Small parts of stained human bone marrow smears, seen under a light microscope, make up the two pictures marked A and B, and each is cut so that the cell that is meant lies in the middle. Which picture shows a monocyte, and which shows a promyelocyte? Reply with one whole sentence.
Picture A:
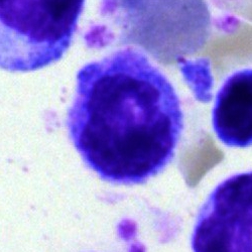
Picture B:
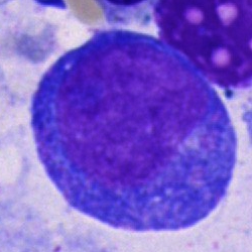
Picture B shows a promyelocyte, while picture A shows a monocyte.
